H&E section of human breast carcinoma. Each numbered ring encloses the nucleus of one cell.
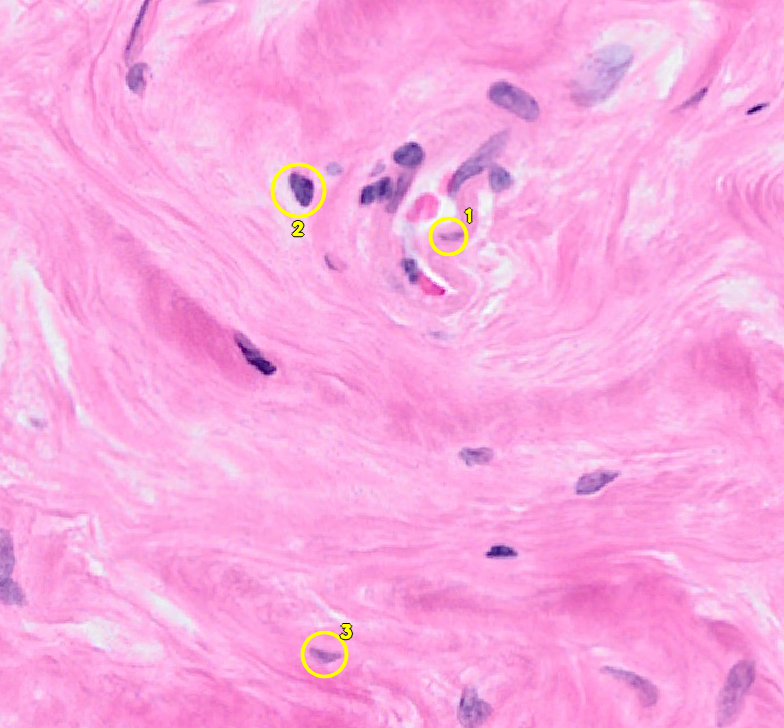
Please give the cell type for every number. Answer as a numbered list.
1. endothelial cell
2. lymphocyte
3. fibroblast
